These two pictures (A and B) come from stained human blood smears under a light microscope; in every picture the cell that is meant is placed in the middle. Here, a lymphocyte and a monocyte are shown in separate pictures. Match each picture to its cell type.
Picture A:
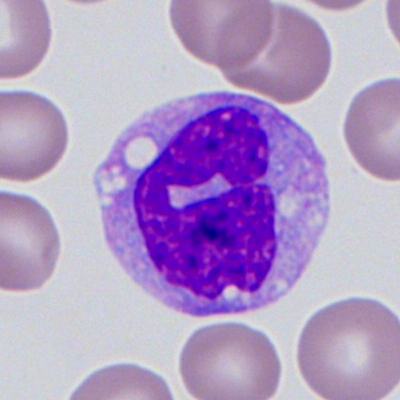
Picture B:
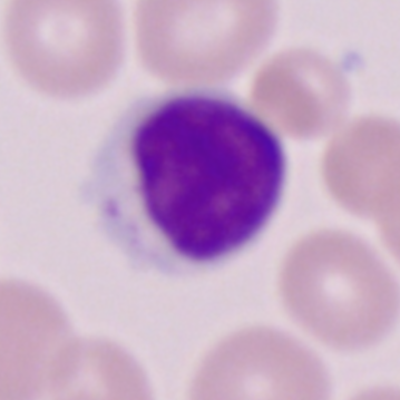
A: monocyte
B: lymphocyte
